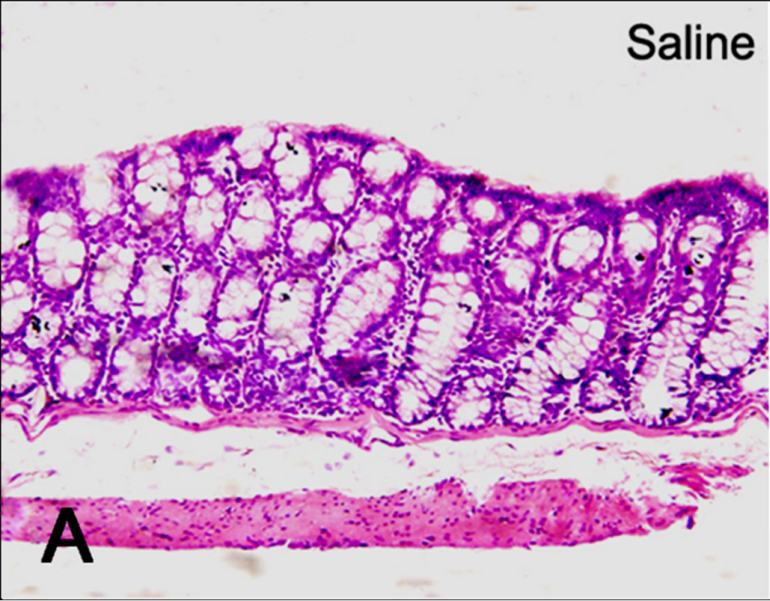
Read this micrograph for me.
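This is a section of colonic wall with an intact mucosa made of regular, closely packed crypts lined by columnar epithelium rich in pale, vacuolated goblet cells. A continuous purple surface epithelium covers the mucosa, and a cellular lamina propria with dark nuclei fills the spaces between crypts. Beneath the crypts lies a thin pink band of muscularis mucosae, then a pale, loose submucosa, and at the bottom a pink layer of smooth muscle with elongated nuclei.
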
